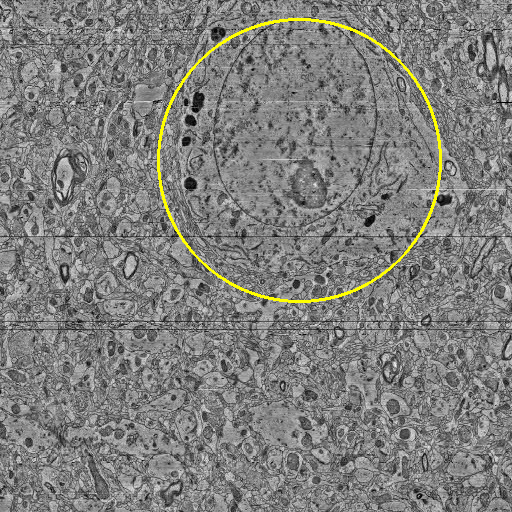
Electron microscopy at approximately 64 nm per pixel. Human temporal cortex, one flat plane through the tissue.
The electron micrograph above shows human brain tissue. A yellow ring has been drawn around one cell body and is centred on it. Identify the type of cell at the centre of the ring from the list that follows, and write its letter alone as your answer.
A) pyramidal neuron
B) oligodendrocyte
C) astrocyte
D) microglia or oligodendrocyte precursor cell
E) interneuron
A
